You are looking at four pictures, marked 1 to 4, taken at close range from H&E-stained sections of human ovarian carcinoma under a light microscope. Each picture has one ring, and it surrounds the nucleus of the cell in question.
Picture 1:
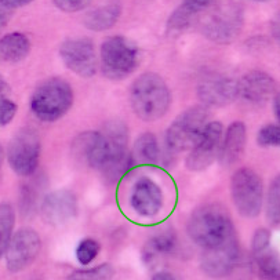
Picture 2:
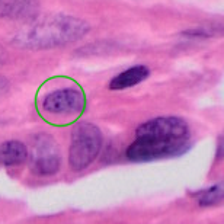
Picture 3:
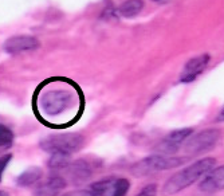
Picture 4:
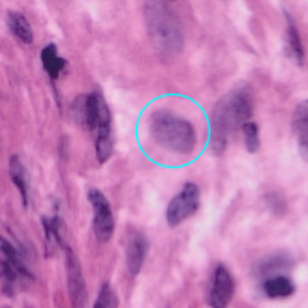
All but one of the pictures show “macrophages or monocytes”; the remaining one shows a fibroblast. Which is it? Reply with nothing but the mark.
4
